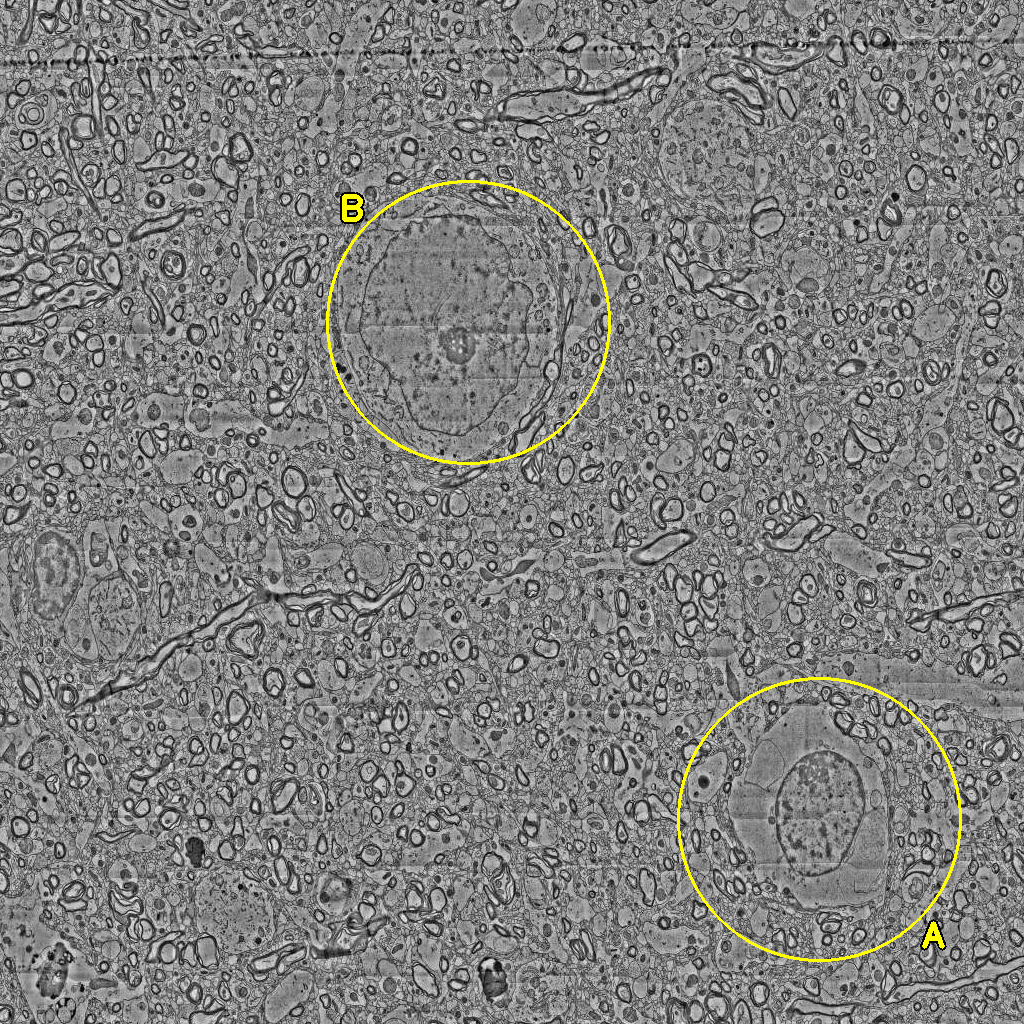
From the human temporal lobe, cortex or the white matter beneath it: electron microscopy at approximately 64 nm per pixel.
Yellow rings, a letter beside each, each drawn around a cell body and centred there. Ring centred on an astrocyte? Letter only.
A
